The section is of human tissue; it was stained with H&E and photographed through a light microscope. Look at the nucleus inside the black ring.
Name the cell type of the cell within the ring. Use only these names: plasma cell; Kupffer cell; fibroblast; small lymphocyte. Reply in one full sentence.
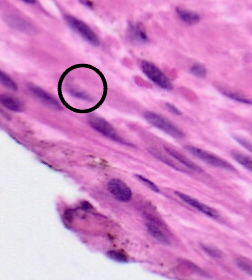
This is a fibroblast.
